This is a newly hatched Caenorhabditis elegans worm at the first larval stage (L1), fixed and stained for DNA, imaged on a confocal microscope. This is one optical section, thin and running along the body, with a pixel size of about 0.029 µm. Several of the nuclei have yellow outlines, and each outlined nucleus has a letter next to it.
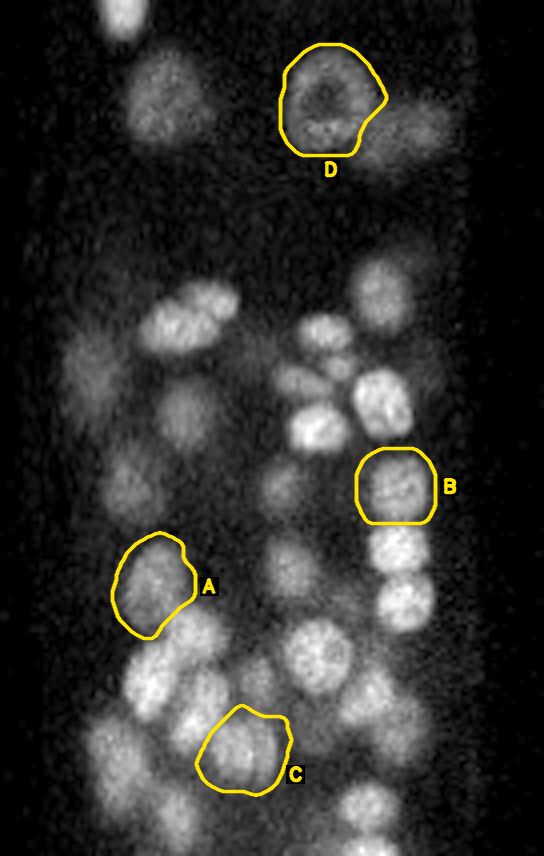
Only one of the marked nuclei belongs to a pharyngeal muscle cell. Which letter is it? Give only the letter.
A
